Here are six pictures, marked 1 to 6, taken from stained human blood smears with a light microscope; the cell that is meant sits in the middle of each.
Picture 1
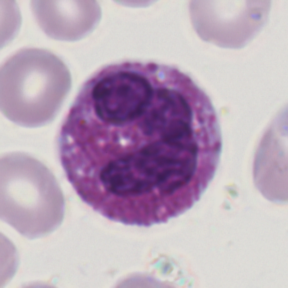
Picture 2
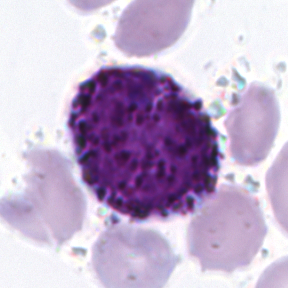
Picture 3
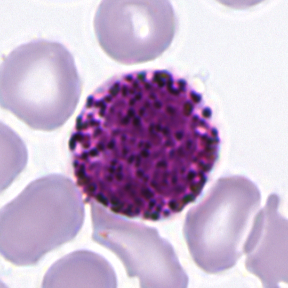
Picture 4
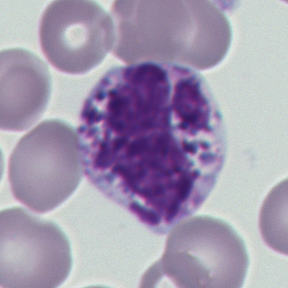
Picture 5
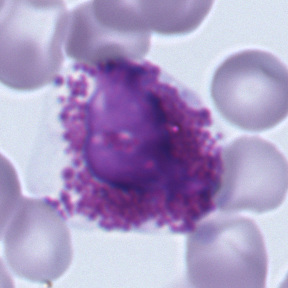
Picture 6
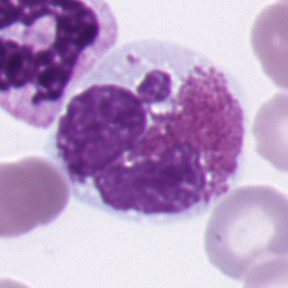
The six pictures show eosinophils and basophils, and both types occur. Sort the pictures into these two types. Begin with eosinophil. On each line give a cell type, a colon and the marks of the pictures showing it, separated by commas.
eosinophil: 1, 5, 6
basophil: 2, 3, 4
